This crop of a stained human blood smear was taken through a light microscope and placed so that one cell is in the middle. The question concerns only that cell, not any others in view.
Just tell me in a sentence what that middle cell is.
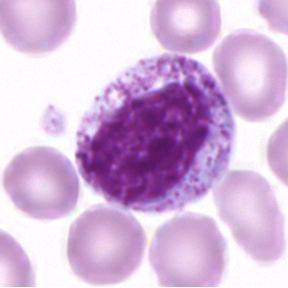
Centrally within this crop lies a metamyelocyte.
